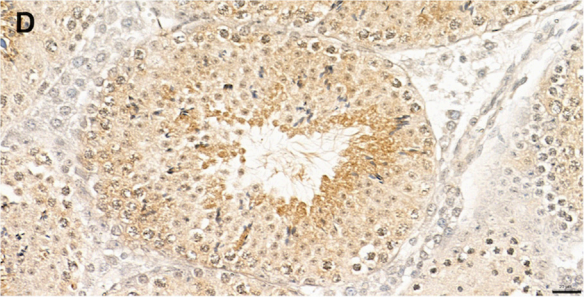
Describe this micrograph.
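A tubule of the testis in cross-section, its wall of stacked germ cells with round nuclei surrounding a central lumen, with interstitial tissue outside. Brown stain fills the cytoplasm of the inner cell layers and streams toward the lumen, while the outermost cells near the tubule wall are paler.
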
